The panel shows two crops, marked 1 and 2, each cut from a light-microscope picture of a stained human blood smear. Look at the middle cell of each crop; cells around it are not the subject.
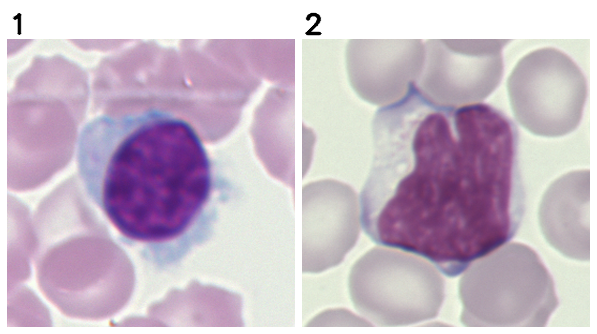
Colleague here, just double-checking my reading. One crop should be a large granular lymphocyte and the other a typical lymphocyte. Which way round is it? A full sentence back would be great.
Crop 1 depicts a typical lymphocyte, and crop 2 depicts a large granular lymphocyte.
